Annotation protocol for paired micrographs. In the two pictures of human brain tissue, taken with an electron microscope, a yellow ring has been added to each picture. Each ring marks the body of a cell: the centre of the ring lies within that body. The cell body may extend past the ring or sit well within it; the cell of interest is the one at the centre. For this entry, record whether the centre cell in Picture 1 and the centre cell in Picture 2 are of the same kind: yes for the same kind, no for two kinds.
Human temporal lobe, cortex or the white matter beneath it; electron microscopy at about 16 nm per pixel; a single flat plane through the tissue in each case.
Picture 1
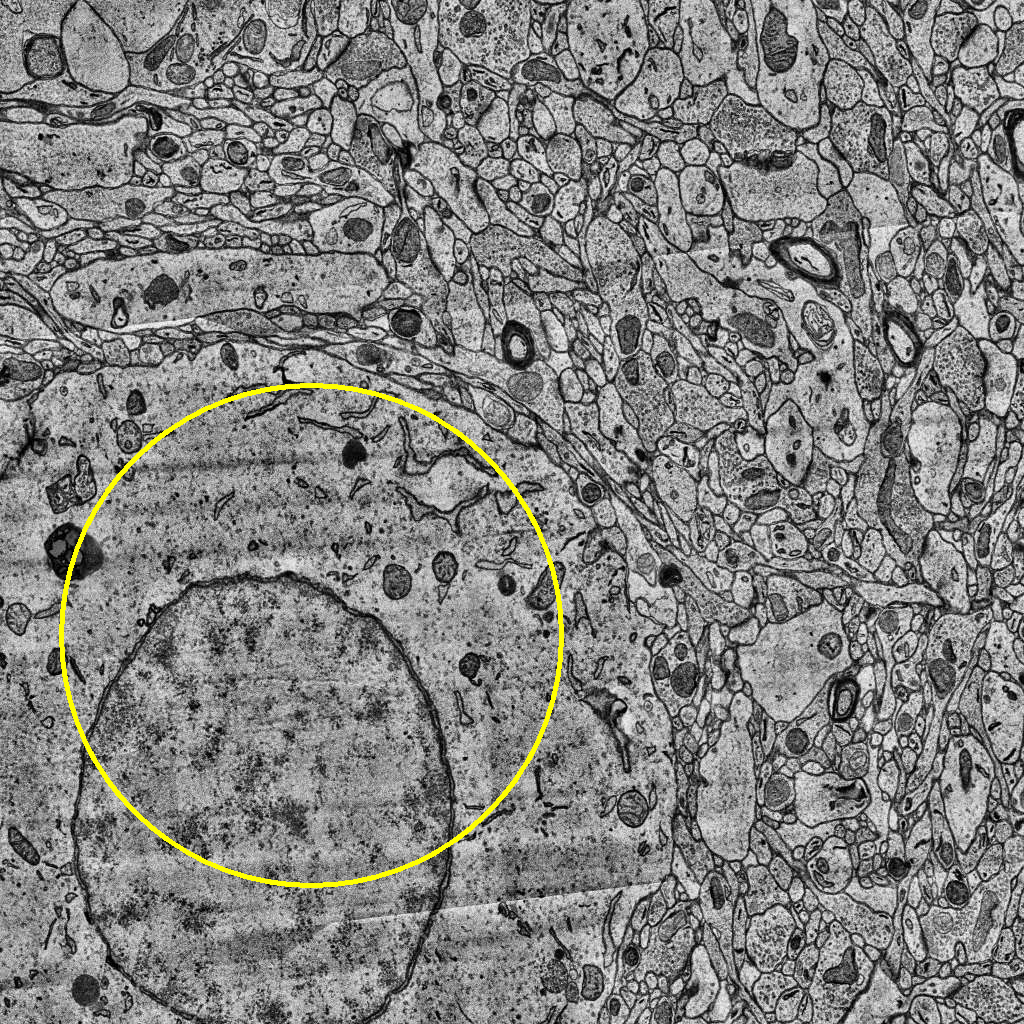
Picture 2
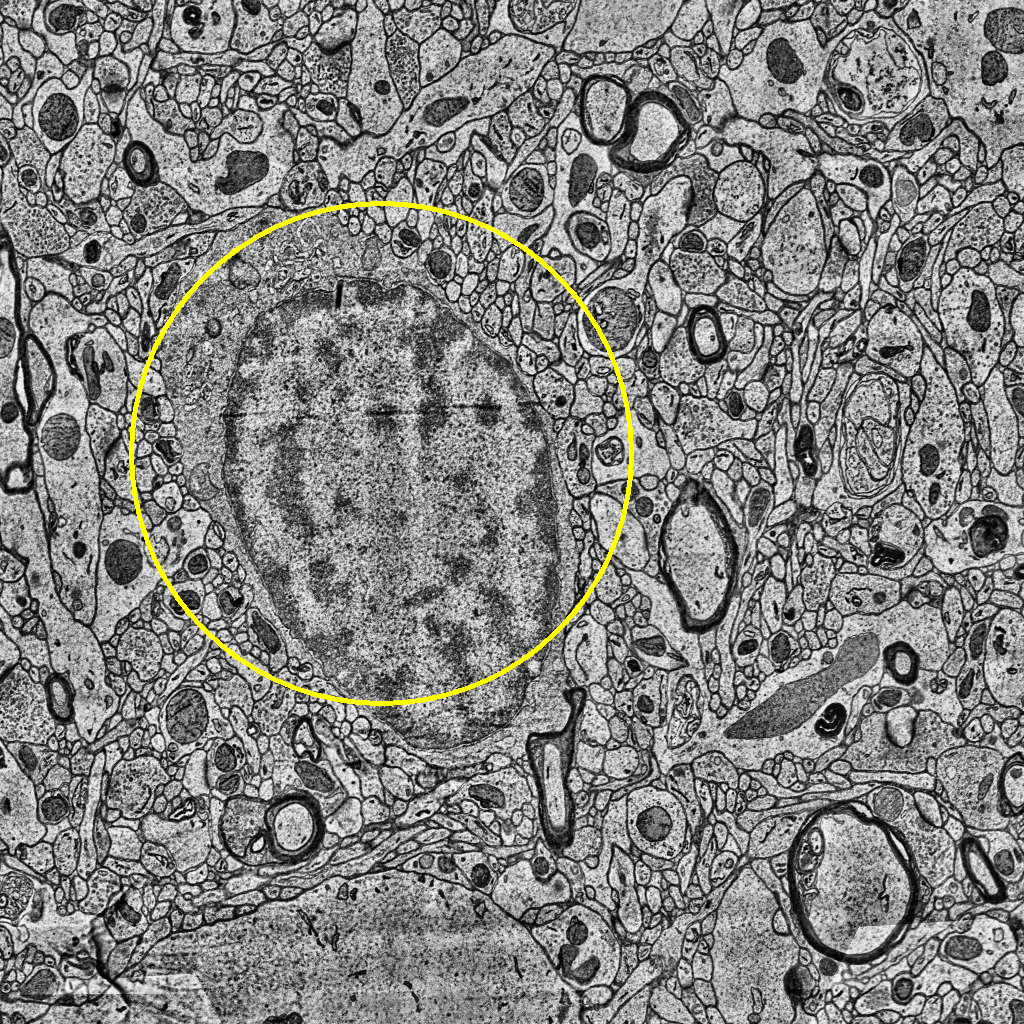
no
